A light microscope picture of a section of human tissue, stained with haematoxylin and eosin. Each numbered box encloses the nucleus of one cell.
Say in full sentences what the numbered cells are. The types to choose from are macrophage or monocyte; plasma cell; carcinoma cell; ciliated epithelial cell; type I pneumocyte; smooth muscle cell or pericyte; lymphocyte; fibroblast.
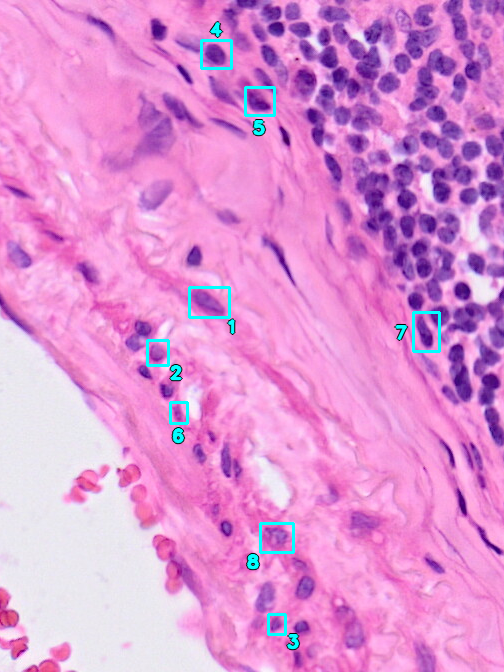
Cells 1, 2, 3, 6 and 8 are smooth muscle cells or pericytes. Cells 4 and 7 are lymphocytes. Cell 5 is a plasma cell.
